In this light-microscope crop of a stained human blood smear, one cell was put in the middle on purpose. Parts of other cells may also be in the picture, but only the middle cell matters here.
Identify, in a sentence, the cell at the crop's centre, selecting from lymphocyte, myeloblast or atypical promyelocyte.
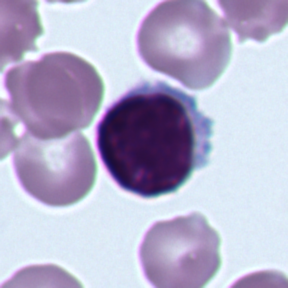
As for the central cell, it is a lymphocyte.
